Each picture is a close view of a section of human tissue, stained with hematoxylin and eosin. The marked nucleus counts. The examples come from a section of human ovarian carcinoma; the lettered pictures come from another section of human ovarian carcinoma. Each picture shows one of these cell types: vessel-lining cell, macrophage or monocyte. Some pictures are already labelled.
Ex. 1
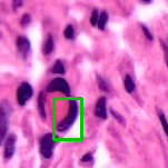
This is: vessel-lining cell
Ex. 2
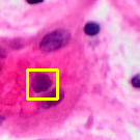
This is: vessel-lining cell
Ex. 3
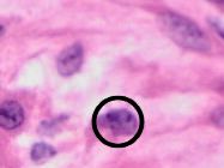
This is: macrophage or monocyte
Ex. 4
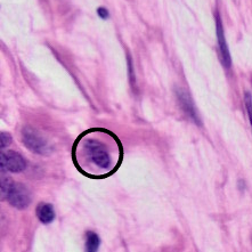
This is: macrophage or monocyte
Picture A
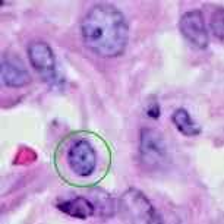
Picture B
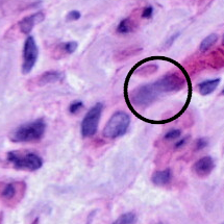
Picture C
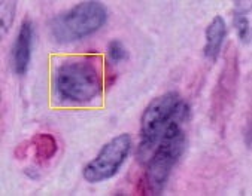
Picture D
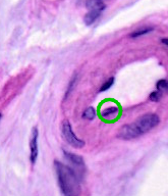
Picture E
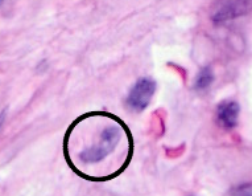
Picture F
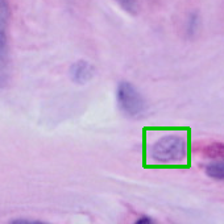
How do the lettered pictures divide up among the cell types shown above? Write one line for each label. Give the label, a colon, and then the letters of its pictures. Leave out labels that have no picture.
vessel-lining cell: B, C, D, F
macrophage or monocyte: A, E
